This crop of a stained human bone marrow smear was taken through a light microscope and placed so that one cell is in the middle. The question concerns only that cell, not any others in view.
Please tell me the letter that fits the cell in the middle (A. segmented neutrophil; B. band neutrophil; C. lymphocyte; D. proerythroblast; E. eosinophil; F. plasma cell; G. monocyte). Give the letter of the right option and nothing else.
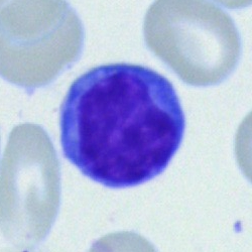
C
